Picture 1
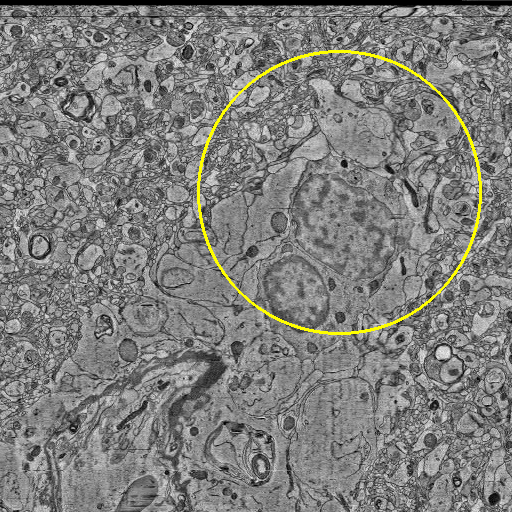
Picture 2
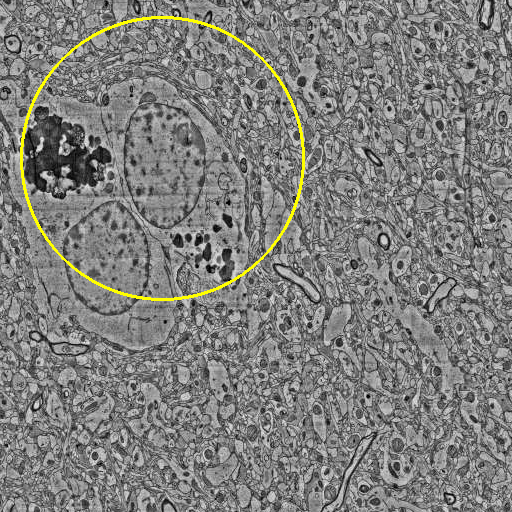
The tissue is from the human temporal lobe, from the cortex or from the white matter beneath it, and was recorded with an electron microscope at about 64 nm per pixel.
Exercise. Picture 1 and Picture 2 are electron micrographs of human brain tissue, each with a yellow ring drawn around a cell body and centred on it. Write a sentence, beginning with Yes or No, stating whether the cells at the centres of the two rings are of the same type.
No, the cells at the centres of the rings are of two types.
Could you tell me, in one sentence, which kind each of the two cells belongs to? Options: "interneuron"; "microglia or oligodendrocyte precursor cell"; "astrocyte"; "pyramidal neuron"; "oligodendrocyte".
At the centre of the first ring sits an oligodendrocyte, and at the centre of the second sits an astrocyte.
